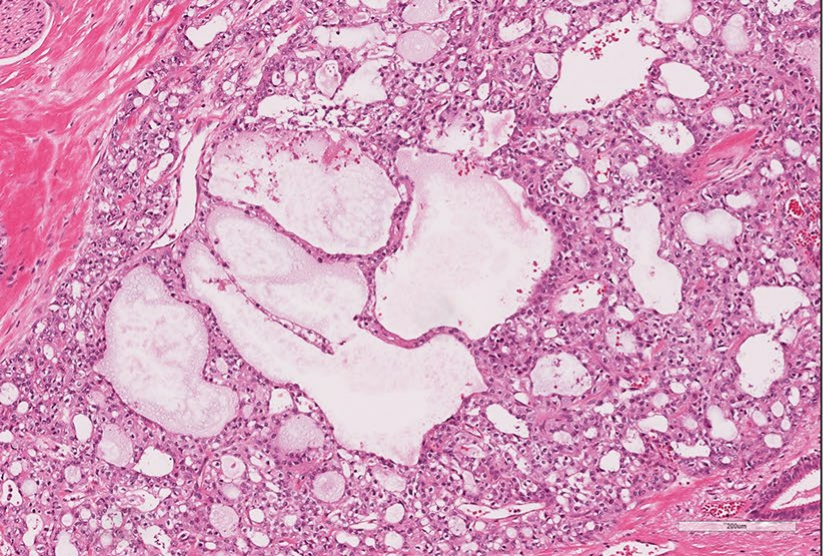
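Tumor tissue made of cuboidal cells with pink cytoplasm and round-to-oval nuclei, arranged around numerous microcystic and tubular spaces. The spaces vary from small round holes to large irregular, branching cysts lined by a thin layer of flattened to cuboidal cells. Most lumina contain pale pink, finely bubbly secretion, and a few contain red blood cells. Dense pink fibrous tissue lies at the left and lower edges, bordering the tumor lobule. No necrosis is seen.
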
